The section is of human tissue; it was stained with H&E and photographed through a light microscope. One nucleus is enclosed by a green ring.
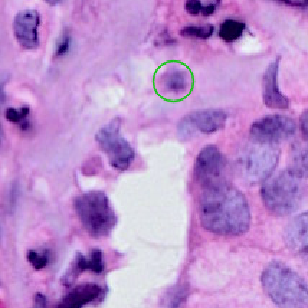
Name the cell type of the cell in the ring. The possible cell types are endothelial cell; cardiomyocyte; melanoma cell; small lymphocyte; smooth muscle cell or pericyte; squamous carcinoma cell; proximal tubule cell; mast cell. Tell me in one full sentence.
To be brief about it, the cell in the ring is a mast cell.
